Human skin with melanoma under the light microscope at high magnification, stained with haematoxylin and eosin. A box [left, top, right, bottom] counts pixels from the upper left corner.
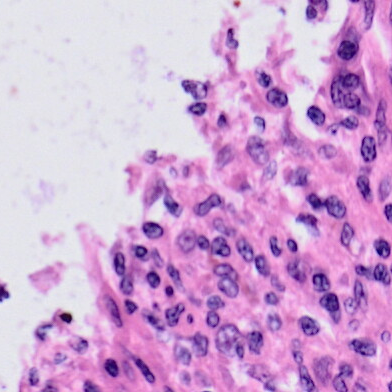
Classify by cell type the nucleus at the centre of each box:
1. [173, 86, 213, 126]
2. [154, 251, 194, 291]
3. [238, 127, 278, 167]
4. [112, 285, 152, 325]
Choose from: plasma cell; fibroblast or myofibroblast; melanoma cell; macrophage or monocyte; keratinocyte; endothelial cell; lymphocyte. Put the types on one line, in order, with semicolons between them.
lymphocyte; lymphocyte; macrophage or monocyte; lymphocyte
